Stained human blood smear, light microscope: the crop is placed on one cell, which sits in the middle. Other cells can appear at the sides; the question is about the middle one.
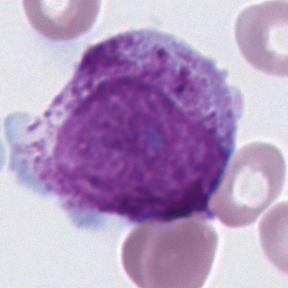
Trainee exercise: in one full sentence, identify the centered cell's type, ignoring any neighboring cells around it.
The cell in the middle of the field of view is an atypical promyelocyte.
